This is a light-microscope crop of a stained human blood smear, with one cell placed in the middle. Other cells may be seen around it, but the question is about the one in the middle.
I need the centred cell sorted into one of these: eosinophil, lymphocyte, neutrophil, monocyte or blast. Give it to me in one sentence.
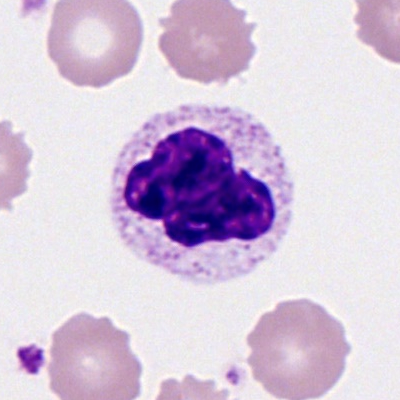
This crop has a neutrophil at its centre.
